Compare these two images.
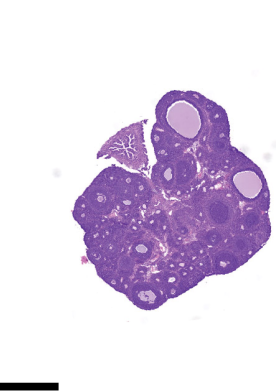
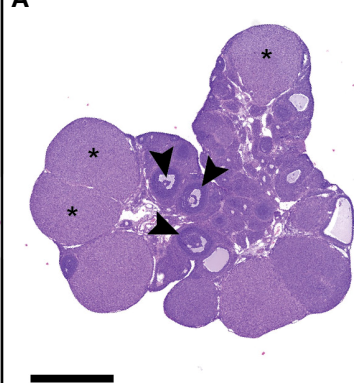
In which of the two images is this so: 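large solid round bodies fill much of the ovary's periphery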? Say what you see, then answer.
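First image: a small ovary made up mostly of follicles of various sizes, with no large solid bodies. Second image: several large, evenly cellular round bodies without cavities bulge from the periphery. So: the second image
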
